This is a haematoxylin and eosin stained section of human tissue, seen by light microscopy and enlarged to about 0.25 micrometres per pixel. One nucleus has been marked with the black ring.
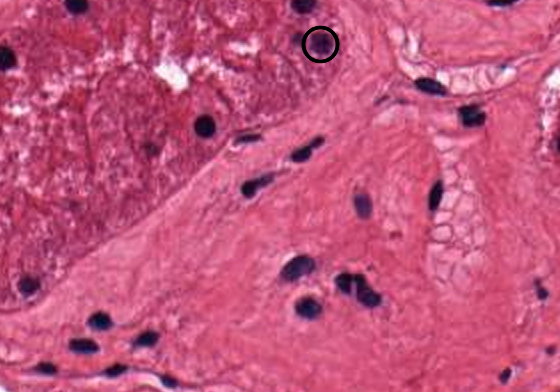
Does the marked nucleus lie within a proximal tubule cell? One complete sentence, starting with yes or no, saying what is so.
Yes, the marked nucleus belongs to a proximal tubule cell in this image.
